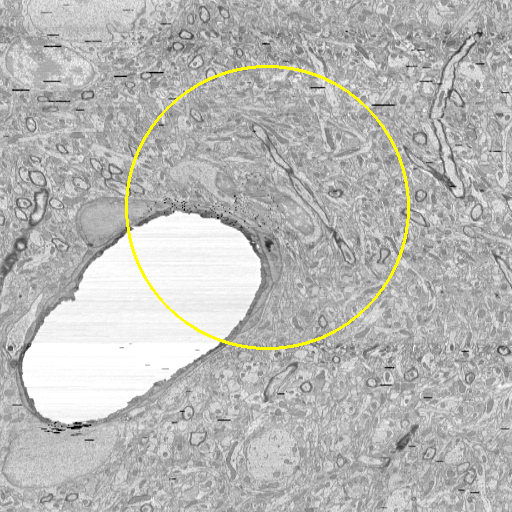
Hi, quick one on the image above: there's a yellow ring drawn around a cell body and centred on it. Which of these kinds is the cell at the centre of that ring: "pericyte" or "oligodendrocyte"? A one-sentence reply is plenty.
The cell at the centre of the ring is an oligodendrocyte.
